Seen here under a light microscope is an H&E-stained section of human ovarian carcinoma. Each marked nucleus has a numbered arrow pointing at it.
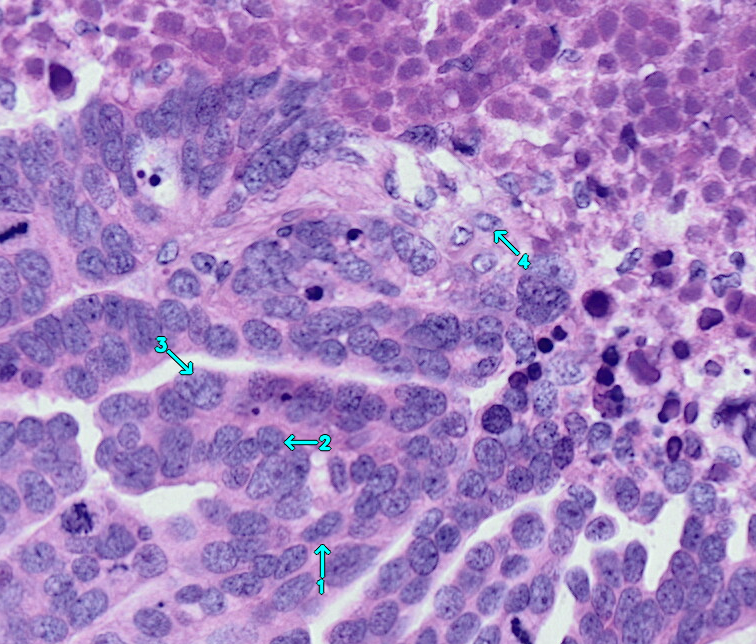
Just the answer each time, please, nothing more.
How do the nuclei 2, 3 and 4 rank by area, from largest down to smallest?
3, 2, 4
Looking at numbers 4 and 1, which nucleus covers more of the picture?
1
